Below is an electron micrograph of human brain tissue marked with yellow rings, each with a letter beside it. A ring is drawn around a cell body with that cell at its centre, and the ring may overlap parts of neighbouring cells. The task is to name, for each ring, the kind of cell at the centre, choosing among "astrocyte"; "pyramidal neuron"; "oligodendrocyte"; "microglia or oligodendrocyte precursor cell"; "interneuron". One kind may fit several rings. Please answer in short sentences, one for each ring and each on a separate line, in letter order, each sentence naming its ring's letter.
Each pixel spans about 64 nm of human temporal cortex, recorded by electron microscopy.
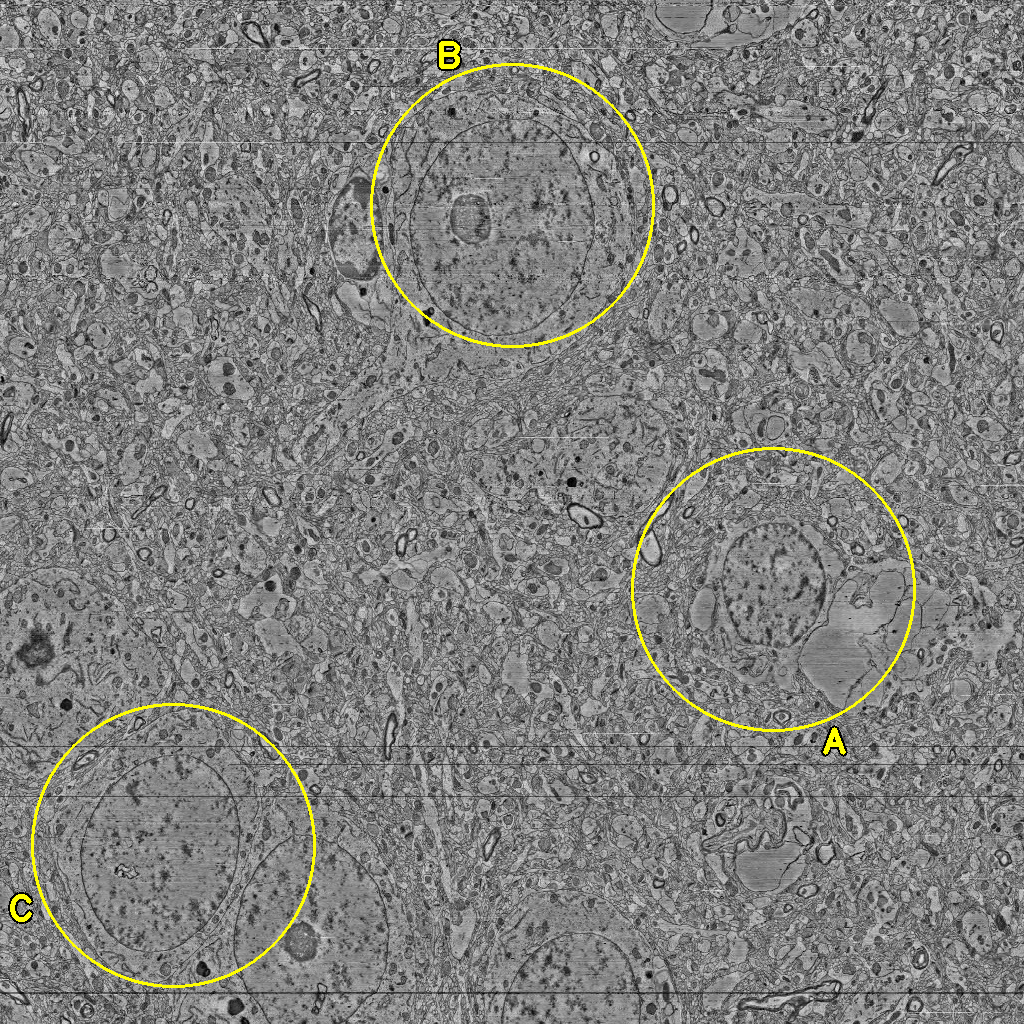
The ring with letter A is centred on an astrocyte.
The ring with letter B is centred on a pyramidal neuron.
The ring with letter C is centred on a pyramidal neuron.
